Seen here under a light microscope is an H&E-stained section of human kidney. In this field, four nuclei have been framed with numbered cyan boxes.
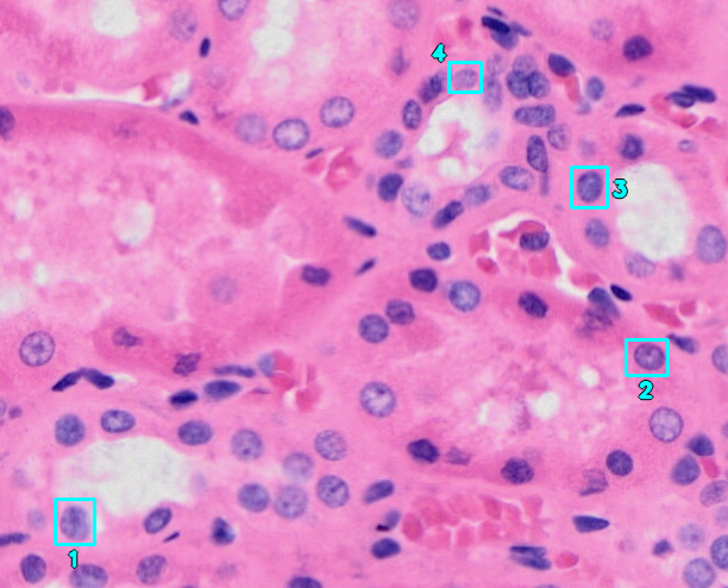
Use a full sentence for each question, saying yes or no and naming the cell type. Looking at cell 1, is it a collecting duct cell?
No, number 1 points to a loop of Henle or distal tubule cell and not to a collecting duct cell.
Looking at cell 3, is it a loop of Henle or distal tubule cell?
Yes, the numbered cell 3 is identified as a loop of Henle or distal tubule cell.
